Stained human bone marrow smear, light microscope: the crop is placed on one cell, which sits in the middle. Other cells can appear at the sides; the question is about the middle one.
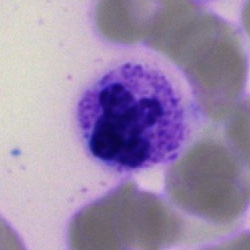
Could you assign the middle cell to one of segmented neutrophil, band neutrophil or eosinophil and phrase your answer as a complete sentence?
In this crop, the cell at the very middle is a segmented neutrophil.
